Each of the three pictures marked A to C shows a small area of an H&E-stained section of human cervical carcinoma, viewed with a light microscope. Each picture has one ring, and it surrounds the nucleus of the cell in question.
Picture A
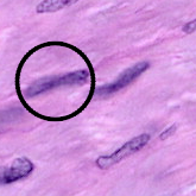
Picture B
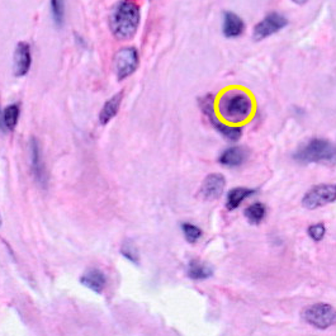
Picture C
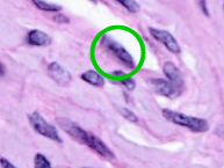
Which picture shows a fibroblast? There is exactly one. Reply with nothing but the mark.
A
